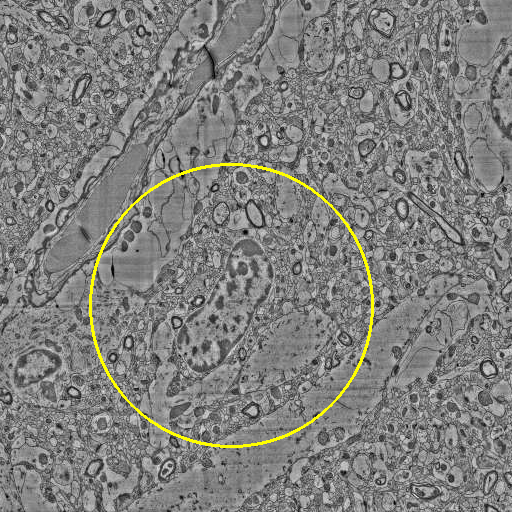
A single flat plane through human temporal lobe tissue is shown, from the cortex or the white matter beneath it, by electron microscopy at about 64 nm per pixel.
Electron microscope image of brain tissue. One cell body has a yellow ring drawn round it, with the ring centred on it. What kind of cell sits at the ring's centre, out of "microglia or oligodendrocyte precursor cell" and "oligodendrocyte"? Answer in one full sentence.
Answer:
It is a microglial cell or oligodendrocyte precursor cell whose cell body sits at the centre of the yellow ring.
